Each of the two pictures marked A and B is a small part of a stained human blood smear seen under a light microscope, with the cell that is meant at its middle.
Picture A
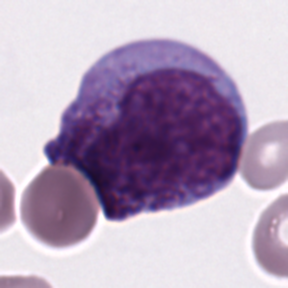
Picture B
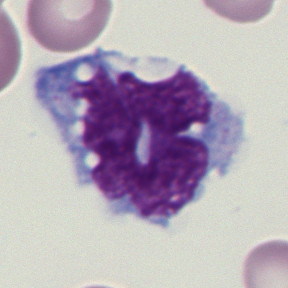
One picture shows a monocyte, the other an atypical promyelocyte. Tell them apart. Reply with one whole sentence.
It is picture A that shows an atypical promyelocyte, and picture B that shows a monocyte.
